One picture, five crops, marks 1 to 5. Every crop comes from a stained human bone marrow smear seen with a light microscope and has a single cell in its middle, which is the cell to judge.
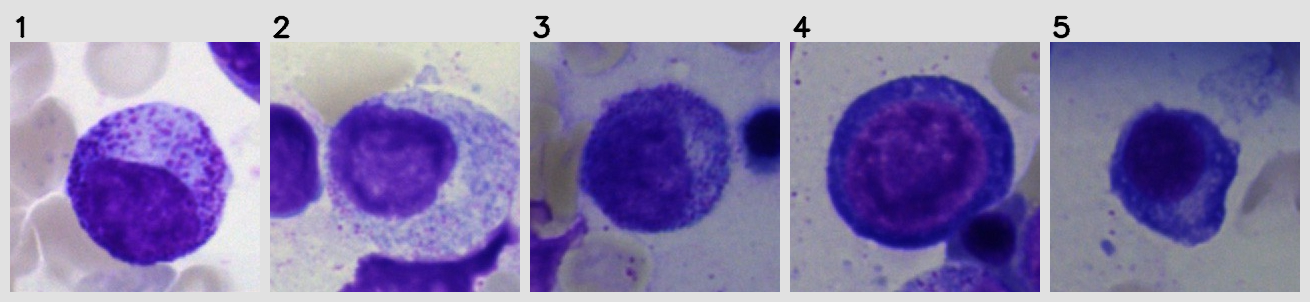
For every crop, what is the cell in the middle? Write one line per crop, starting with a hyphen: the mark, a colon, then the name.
- 1: myelocyte
- 2: myelocyte
- 3: myelocyte
- 4: proerythroblast
- 5: plasma cell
